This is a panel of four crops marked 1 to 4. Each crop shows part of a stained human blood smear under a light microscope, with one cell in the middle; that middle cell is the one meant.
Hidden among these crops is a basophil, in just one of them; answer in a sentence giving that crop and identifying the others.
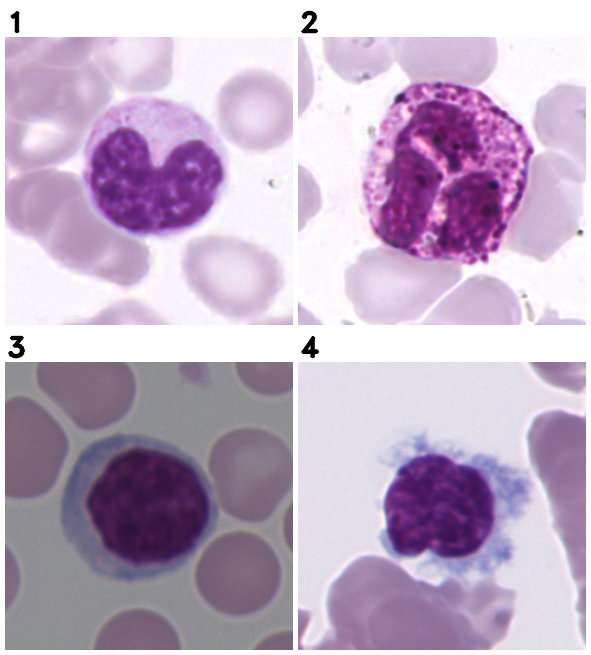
Crop 2 shows a basophil, and meanwhile crop 1 is a metamyelocyte, crop 3 is a typical lymphocyte and crop 4 is a hairy cell.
